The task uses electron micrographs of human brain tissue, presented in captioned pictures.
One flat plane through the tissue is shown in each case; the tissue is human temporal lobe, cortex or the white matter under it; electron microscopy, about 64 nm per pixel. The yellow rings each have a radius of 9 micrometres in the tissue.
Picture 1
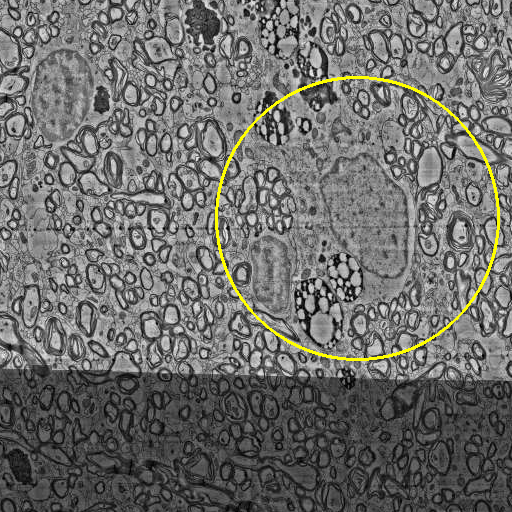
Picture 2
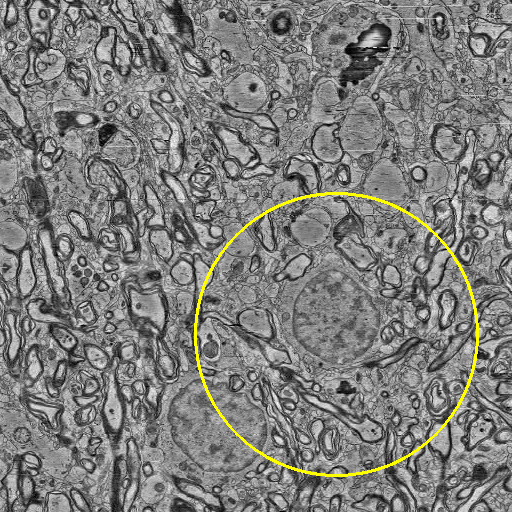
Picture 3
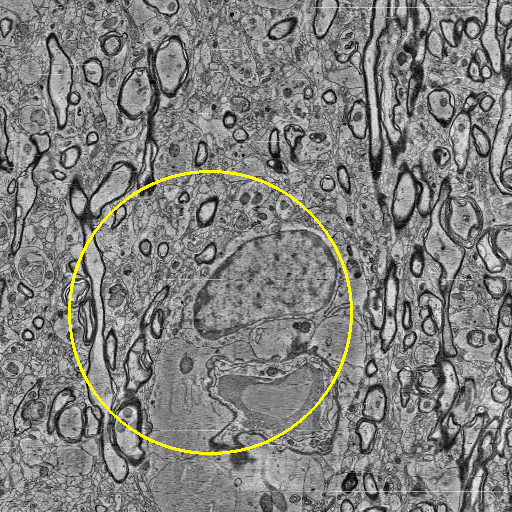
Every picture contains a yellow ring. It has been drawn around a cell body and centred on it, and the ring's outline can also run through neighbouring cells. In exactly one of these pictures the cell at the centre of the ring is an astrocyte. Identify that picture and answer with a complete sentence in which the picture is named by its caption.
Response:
The ring in Picture 1 is centred on that kind of cell.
